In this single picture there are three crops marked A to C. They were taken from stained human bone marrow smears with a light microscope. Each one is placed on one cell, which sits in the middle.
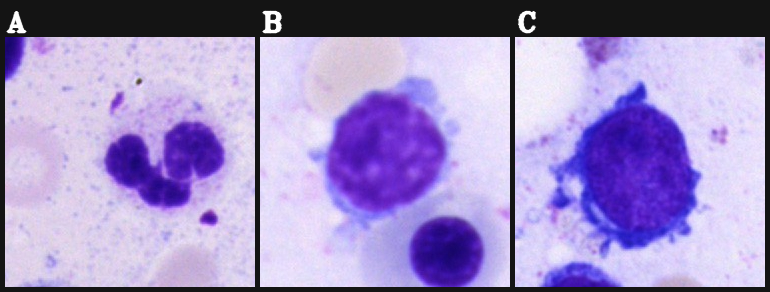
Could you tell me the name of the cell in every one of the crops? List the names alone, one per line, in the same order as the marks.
segmented neutrophil
lymphocyte
proerythroblast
